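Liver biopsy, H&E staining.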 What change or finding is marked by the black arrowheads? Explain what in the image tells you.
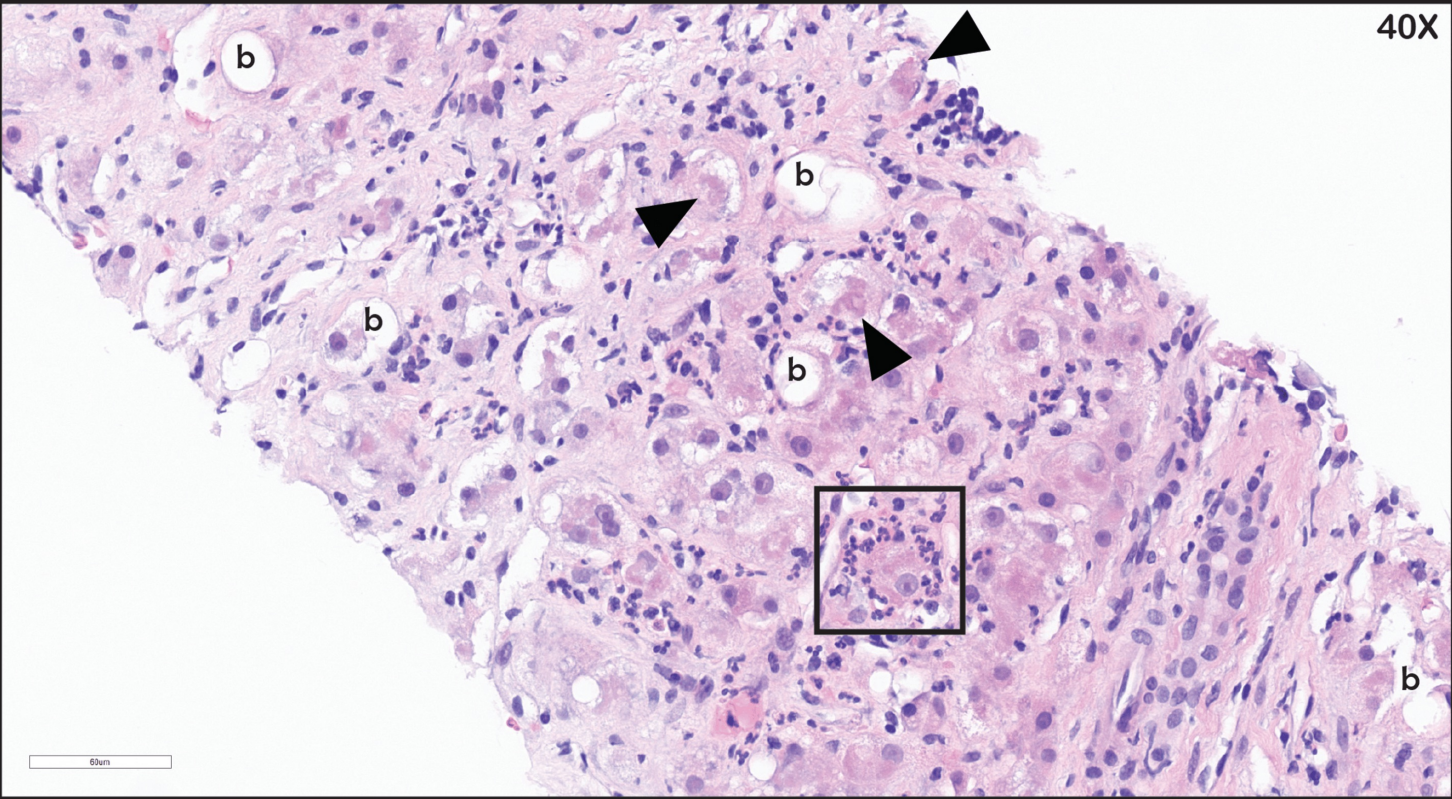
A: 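The arrowheads point to clumped, ropy eosinophilic material within the cytoplasm of hepatocytes. The pink clumps are denser and more irregular than the surrounding cytoplasm.
Answer: Mallory hyaline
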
